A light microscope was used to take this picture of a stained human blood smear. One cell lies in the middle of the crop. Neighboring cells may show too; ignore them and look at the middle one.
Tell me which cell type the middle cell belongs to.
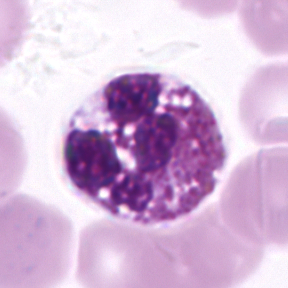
eosinophil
